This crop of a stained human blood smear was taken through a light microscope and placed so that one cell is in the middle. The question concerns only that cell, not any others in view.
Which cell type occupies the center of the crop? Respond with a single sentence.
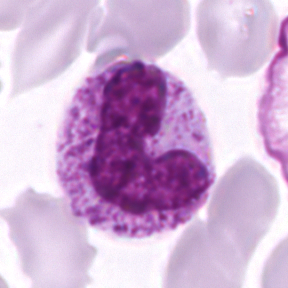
The cell positioned in the middle of the field is a band neutrophil.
